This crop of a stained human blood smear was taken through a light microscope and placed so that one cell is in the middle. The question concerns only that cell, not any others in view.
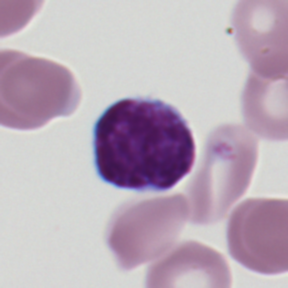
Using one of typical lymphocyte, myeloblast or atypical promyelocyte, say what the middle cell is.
typical lymphocyte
